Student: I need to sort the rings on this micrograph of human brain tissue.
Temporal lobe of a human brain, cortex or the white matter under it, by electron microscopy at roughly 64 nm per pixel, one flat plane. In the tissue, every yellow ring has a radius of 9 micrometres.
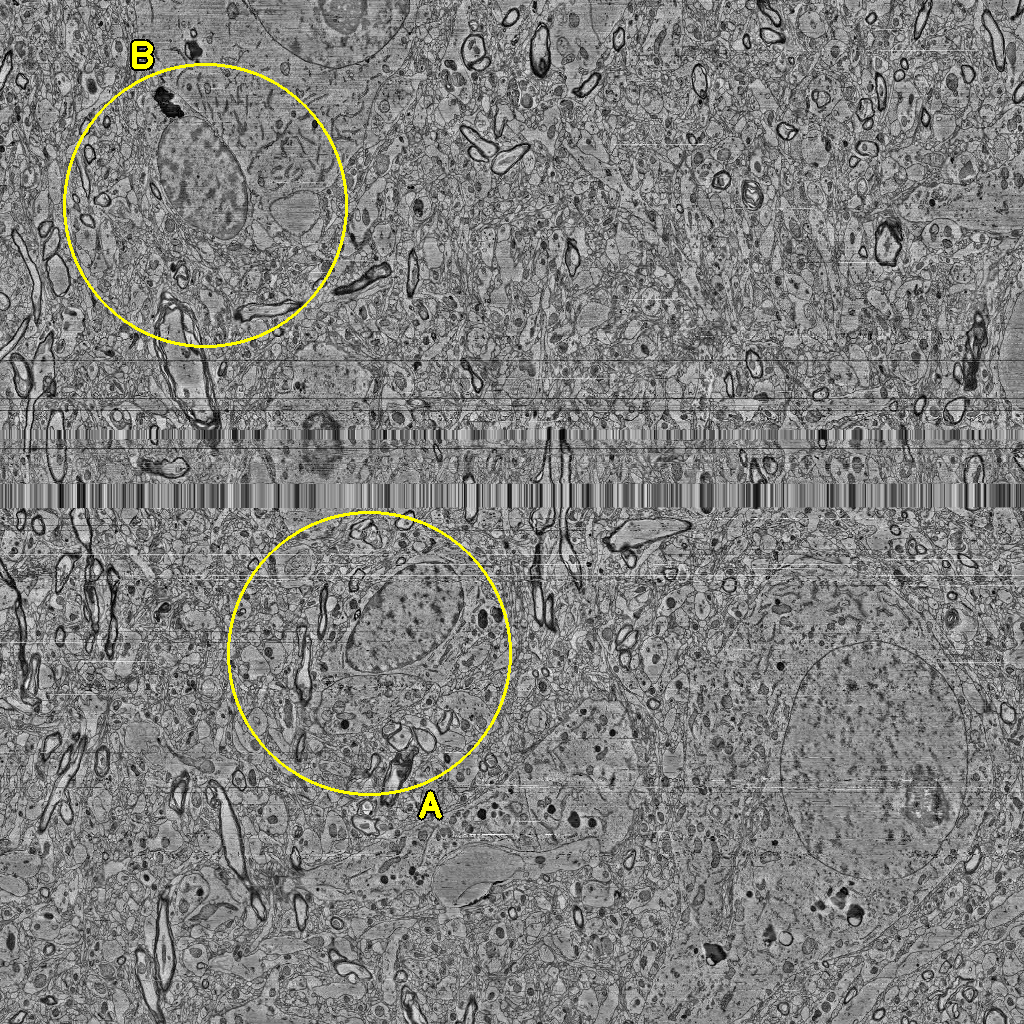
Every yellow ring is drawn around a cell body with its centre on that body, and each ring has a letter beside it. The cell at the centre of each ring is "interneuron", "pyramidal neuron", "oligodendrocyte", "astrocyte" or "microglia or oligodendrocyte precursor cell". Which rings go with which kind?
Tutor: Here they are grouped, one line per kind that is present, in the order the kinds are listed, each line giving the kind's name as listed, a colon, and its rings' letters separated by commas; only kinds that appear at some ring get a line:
oligodendrocyte: B
microglia or oligodendrocyte precursor cell: A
